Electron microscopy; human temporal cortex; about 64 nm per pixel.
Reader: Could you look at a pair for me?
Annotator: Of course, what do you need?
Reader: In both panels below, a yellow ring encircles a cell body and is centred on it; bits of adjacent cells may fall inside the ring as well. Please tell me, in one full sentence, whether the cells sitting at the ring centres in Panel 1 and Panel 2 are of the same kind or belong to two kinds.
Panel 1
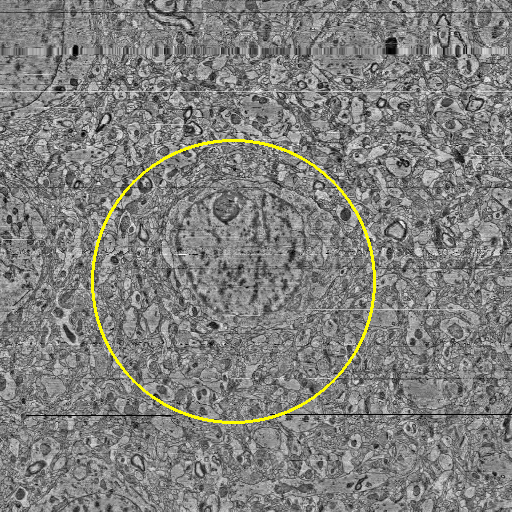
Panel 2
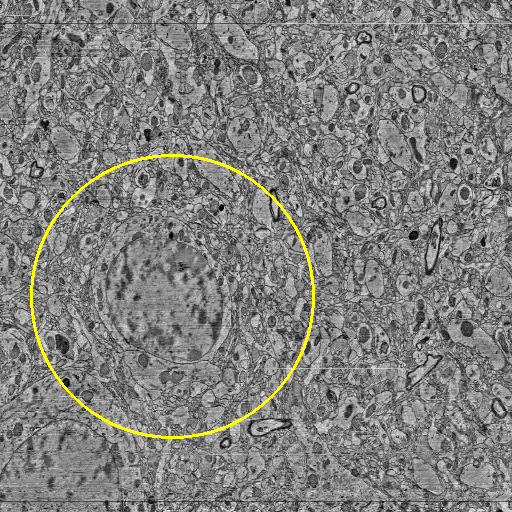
The cell at the ring's centre in Panel 1 and the one in Panel 2 are of the same kind.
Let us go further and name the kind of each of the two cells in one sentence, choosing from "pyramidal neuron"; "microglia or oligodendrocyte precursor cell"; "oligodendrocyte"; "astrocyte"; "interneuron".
Each of the two rings surrounds an interneuron.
